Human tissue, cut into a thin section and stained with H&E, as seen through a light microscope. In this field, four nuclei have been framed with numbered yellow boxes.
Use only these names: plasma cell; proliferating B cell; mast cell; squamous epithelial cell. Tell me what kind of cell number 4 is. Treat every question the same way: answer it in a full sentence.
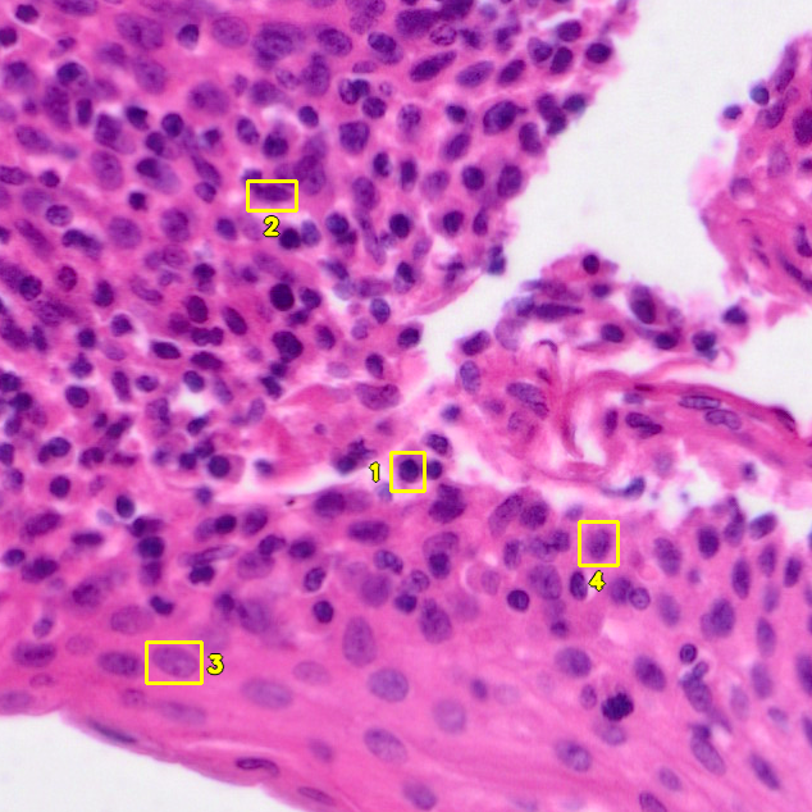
The cell pointed out as number 4 is a squamous epithelial cell.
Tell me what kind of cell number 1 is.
Cell 1 should be recorded as a plasma cell.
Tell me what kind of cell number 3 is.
The cell referred to as 3 is a squamous epithelial cell.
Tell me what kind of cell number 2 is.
The cell referred to as 2 is a squamous epithelial cell.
